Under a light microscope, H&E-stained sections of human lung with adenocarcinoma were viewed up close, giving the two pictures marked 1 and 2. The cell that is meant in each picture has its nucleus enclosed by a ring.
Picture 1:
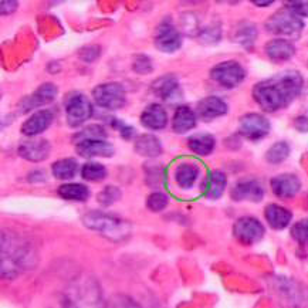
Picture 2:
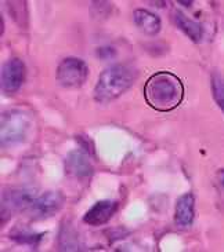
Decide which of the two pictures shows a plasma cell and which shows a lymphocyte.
1: lymphocyte
2: plasma cell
